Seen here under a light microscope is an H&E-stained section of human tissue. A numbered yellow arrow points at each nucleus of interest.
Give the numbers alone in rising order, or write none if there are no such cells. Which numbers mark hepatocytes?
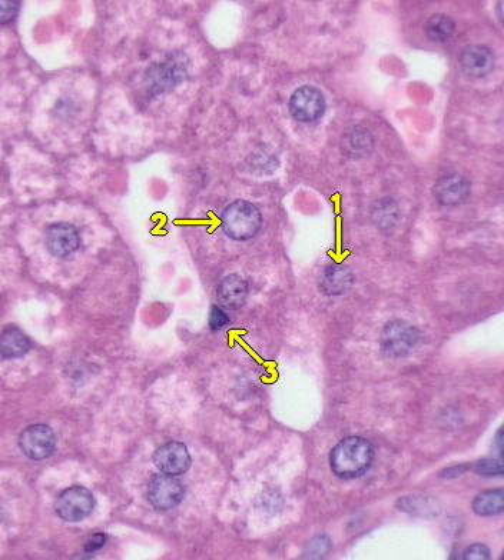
1, 2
